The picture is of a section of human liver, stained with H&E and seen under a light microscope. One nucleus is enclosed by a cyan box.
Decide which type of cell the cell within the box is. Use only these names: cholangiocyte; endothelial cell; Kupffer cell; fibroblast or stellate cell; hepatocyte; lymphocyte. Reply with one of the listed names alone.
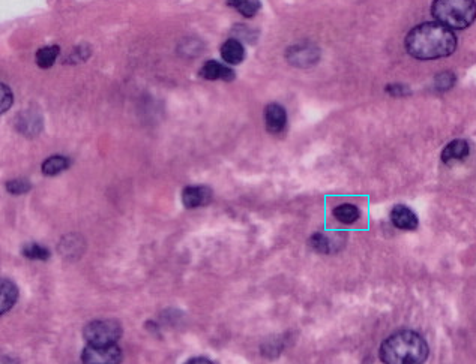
lymphocyte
